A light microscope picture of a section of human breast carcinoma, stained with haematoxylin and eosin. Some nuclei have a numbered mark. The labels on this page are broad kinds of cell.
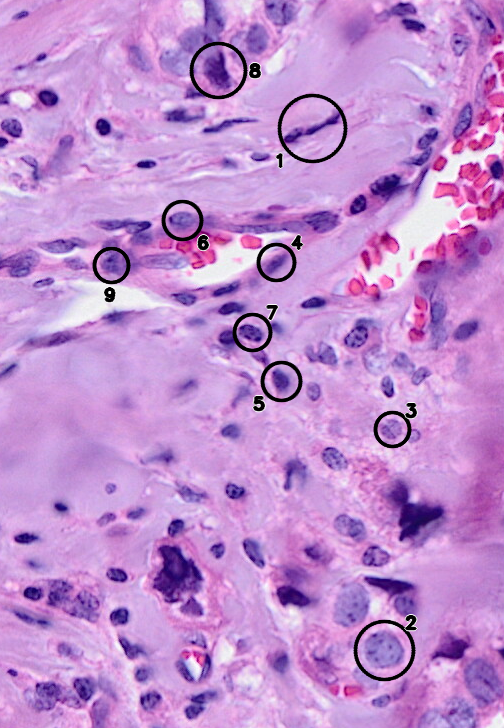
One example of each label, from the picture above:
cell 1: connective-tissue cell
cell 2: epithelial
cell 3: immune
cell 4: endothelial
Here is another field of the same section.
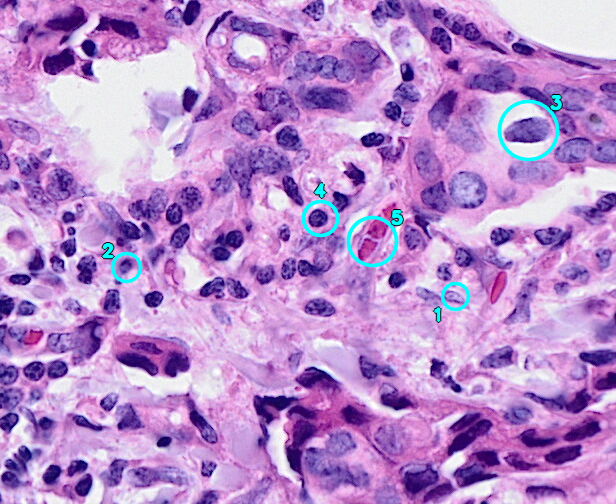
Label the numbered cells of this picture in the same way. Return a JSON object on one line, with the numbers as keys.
{"1": "immune", "2": "immune", "3": "epithelial", "4": "immune", "5": "endothelial"}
